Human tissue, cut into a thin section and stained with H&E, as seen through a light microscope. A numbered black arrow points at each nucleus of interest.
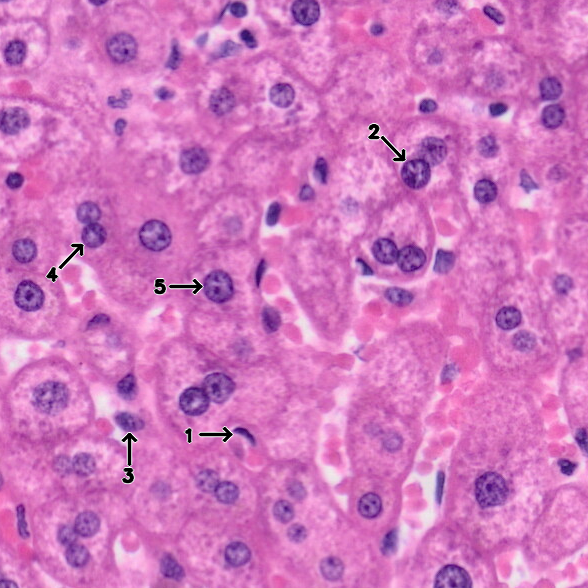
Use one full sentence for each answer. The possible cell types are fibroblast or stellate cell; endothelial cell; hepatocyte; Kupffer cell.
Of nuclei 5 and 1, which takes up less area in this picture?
The smaller nucleus is 1, and 5 covers roughly 4 times its area.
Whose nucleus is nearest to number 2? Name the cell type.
Closest to number 2 lies the nucleus of a hepatocyte.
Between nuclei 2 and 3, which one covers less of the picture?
Nucleus 3 covers less area, with nucleus 2 about 1.5 times as large.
